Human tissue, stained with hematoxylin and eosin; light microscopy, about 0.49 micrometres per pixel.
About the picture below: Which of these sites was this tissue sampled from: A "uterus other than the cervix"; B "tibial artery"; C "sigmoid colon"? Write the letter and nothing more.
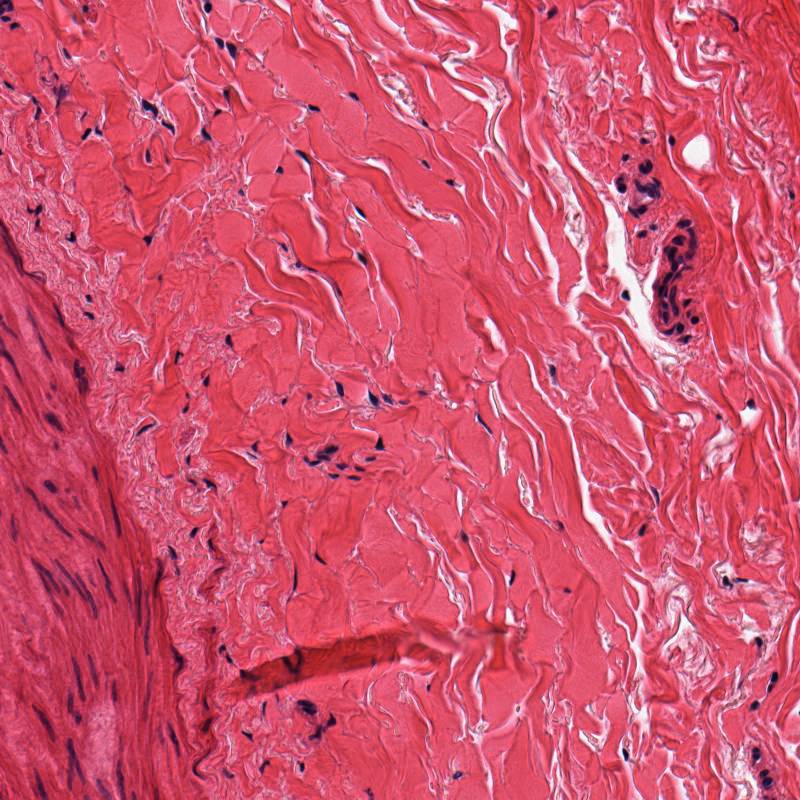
B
